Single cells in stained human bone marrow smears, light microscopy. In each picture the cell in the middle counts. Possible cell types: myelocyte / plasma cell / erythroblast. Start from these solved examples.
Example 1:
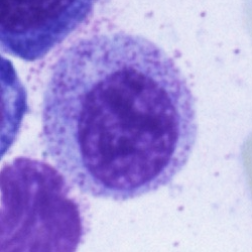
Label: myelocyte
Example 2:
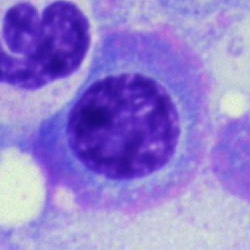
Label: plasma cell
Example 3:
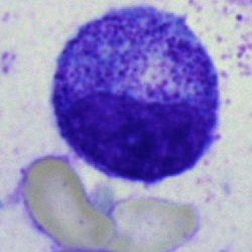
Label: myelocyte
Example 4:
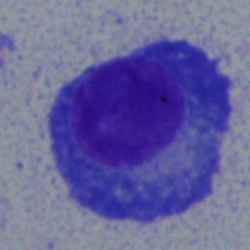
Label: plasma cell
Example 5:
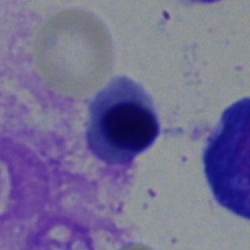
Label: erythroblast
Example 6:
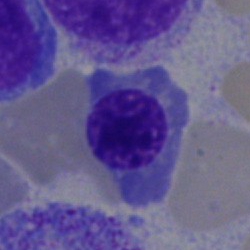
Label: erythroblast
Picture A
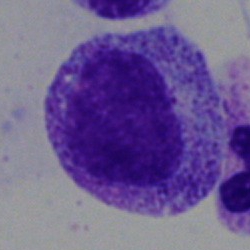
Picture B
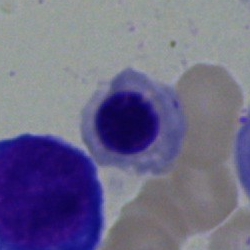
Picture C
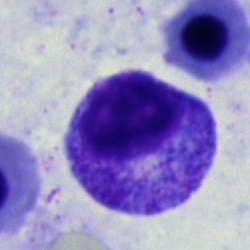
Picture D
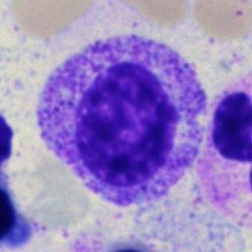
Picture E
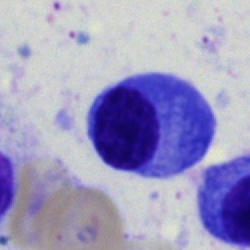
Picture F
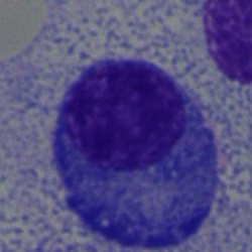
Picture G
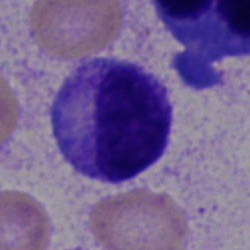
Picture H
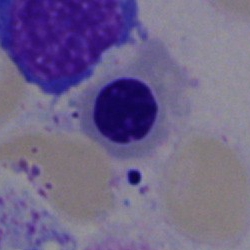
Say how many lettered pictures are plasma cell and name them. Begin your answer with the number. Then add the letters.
2, namely E, F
